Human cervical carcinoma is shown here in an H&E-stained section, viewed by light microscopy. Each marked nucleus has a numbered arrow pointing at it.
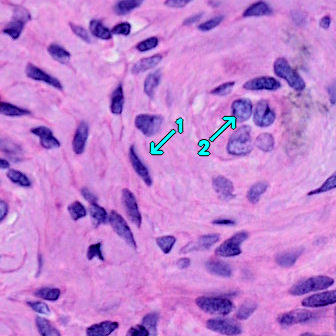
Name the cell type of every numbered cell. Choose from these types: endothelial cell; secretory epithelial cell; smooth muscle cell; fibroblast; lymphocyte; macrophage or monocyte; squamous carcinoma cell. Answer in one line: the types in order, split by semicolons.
fibroblast; endothelial cell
